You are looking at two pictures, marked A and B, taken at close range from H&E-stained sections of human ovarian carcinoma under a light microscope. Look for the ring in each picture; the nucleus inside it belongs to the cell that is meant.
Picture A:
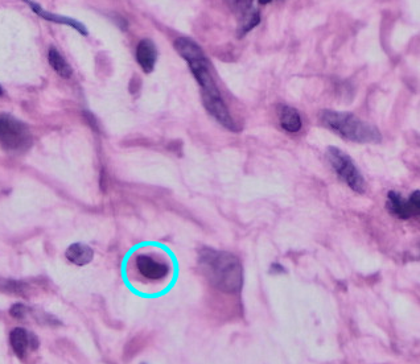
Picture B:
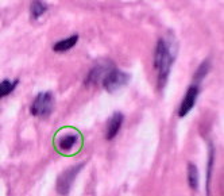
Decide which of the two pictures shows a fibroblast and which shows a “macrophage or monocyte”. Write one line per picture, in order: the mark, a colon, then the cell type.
A: macrophage or monocyte
B: fibroblast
